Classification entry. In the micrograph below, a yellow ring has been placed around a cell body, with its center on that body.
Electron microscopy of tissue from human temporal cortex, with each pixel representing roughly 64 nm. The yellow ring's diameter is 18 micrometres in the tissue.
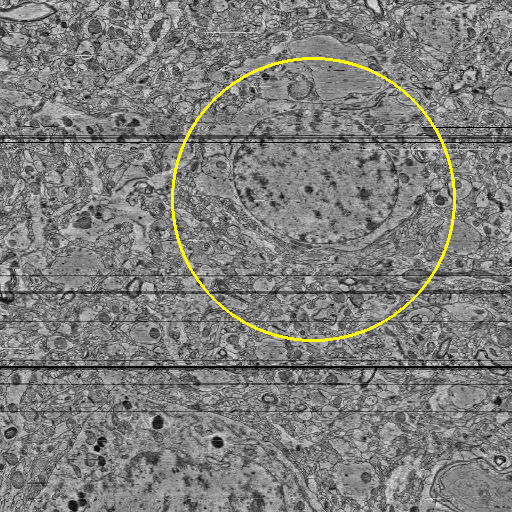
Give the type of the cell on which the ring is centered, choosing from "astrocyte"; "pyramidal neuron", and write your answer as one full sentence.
The cell body at the center of the yellow ring belongs to an astrocyte.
